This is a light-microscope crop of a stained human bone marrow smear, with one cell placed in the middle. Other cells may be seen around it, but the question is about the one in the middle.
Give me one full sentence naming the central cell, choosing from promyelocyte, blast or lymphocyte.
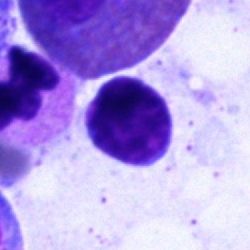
The centrally placed cell is classified as a lymphocyte.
